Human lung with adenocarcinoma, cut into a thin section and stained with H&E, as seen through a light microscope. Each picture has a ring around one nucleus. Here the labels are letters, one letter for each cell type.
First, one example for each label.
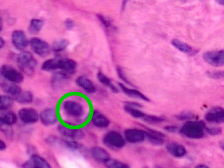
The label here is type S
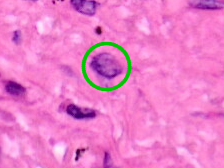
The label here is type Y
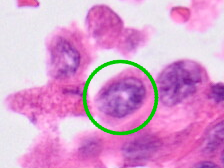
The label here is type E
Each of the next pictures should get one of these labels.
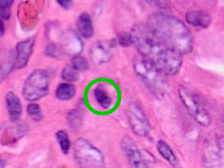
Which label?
type S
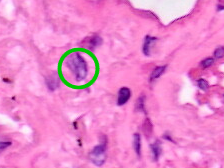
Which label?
type Y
